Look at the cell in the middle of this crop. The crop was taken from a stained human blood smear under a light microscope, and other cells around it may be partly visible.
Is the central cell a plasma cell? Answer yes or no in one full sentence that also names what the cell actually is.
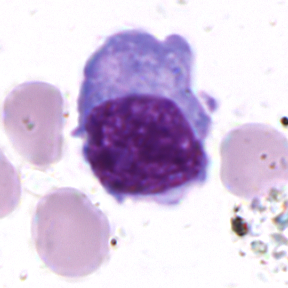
Yes, the centrally placed cell is a plasma cell.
